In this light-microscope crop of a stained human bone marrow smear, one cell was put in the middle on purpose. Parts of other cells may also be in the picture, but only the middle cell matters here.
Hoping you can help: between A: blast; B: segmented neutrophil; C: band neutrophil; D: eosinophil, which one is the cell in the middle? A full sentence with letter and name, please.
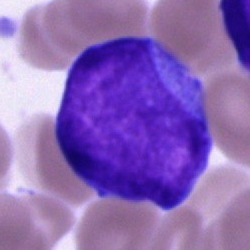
In this crop the central cell is a blast, which option A correctly states.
